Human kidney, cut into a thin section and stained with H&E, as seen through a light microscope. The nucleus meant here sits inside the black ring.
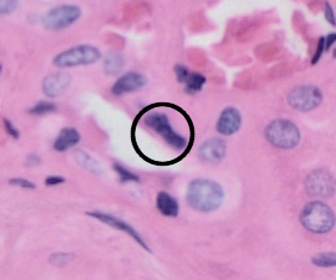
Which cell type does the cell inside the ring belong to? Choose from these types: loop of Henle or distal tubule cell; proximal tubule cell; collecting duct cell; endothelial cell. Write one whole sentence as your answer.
In this section, the cell inside the ring is a collecting duct cell.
